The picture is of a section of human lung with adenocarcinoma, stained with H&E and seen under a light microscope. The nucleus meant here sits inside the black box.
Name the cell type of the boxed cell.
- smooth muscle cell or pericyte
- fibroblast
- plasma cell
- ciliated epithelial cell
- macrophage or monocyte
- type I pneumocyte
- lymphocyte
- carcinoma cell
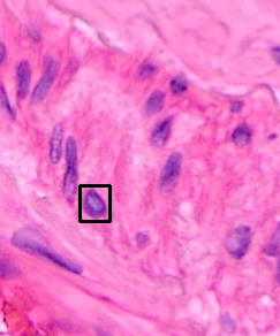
smooth muscle cell or pericyte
